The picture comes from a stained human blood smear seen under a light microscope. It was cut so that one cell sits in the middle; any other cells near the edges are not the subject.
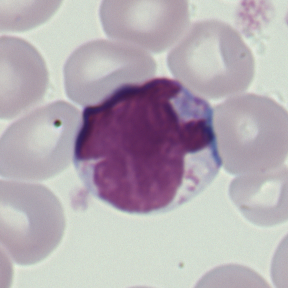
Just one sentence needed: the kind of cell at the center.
The cell marked by its central position in the crop is a large granular lymphocyte.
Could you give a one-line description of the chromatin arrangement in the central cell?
Chromatin texture is fine, and coarse clumps are absent.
